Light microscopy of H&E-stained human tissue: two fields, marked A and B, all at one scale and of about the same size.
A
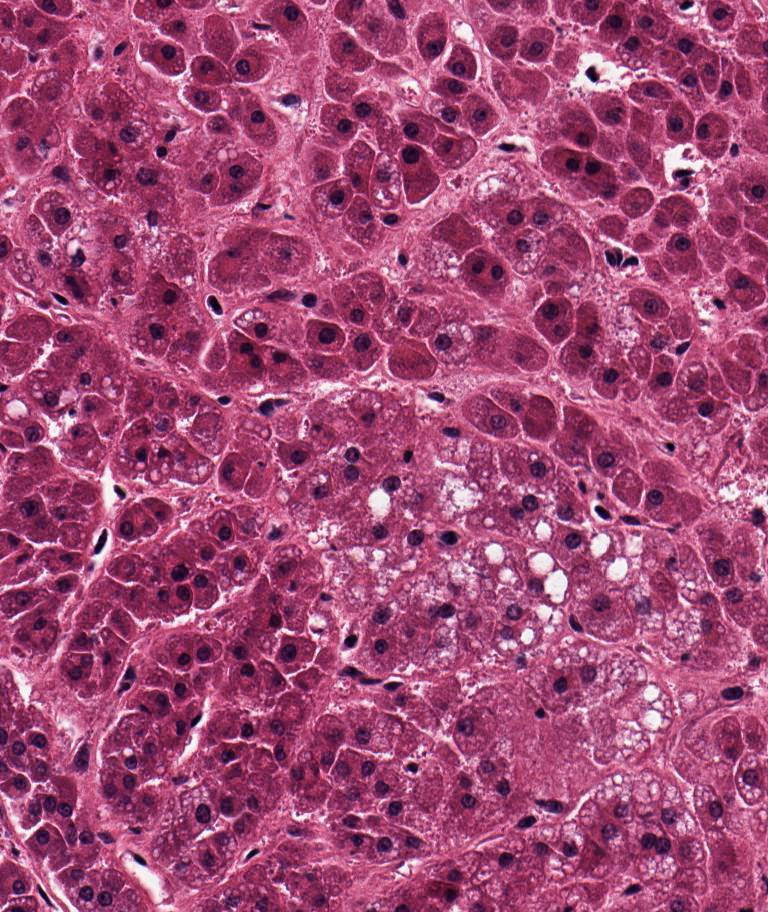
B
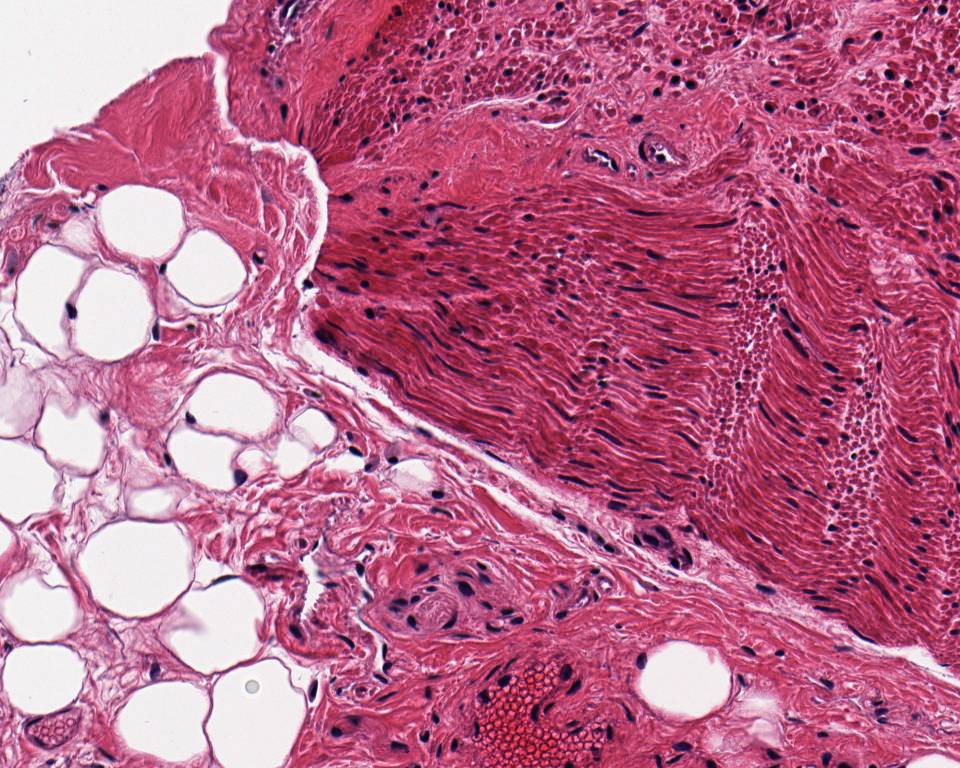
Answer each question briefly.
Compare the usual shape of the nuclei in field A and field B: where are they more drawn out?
B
